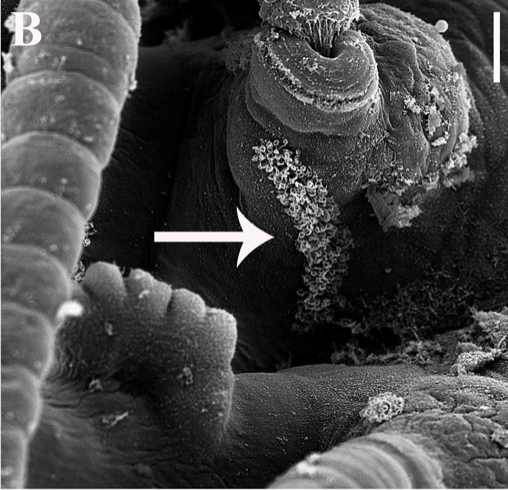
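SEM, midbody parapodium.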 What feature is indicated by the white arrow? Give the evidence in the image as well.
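The arrow points to a band of small bristly tufts on a smooth rounded surface. Each tuft is a cluster of fine short filaments. On this evidence: tufts of cilia.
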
